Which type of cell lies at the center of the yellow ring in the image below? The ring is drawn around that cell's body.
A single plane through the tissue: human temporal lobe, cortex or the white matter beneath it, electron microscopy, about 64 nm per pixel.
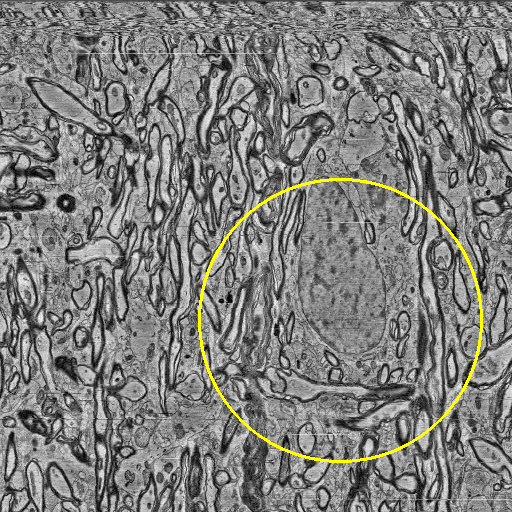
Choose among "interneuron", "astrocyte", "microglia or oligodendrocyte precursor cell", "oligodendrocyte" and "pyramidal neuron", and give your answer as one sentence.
The cell body at the center belongs to a microglial cell or oligodendrocyte precursor cell.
